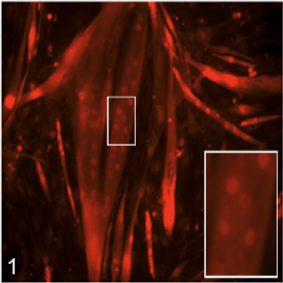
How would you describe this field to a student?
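This fluorescence image shows a large myotube among elongated muscle fibres, all stained red. The central fibre is broad and spindle-shaped, and within it several round nuclei stand out as brighter red spots, as seen in the enlarged inset. Thinner elongated fibres run alongside and across it.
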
